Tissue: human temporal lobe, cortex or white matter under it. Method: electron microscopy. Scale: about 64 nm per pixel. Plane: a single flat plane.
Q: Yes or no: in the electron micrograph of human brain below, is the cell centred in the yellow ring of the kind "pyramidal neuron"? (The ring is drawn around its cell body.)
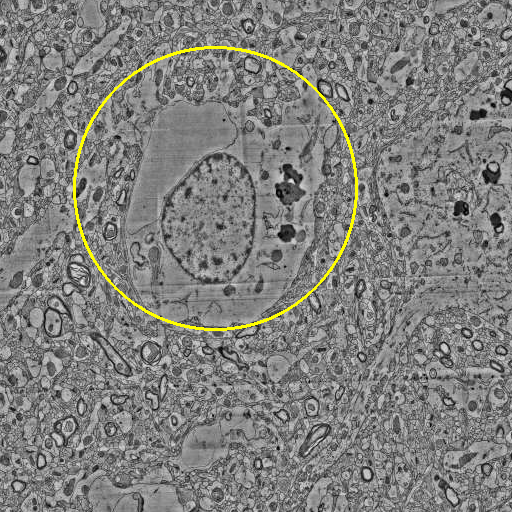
no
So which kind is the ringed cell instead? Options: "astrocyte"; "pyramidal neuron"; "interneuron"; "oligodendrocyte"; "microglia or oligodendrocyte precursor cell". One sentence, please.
So the cell at the centre is an astrocyte.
